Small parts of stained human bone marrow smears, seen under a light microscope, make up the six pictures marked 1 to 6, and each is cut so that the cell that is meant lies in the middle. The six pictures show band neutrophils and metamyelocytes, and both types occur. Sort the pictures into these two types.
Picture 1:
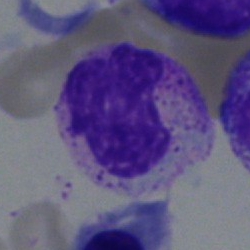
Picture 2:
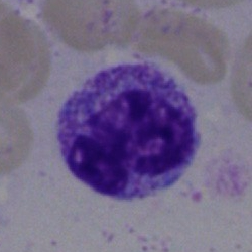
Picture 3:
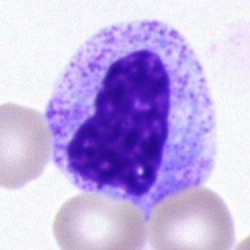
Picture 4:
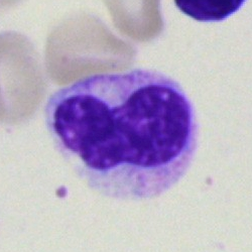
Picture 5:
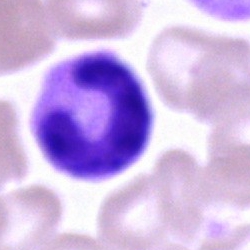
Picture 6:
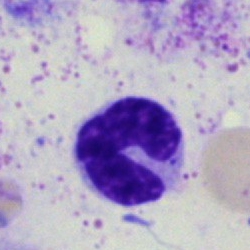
1: band neutrophil
2: metamyelocyte
3: metamyelocyte
4: band neutrophil
5: band neutrophil
6: band neutrophil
